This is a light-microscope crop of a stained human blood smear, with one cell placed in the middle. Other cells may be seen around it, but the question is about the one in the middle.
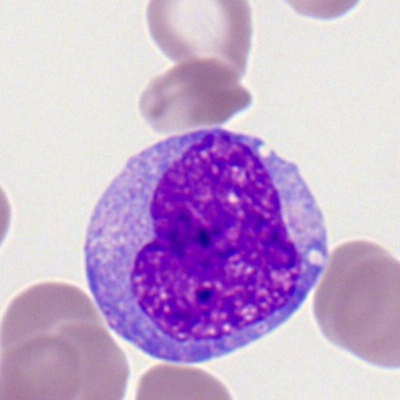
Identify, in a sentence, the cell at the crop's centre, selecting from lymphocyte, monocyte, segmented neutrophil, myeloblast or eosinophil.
The cell positioned in the middle of the field is a monocyte.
